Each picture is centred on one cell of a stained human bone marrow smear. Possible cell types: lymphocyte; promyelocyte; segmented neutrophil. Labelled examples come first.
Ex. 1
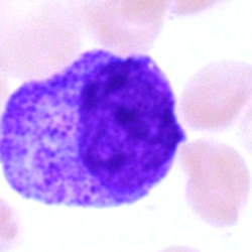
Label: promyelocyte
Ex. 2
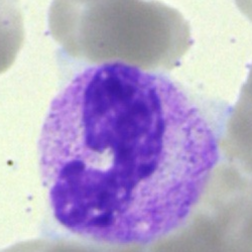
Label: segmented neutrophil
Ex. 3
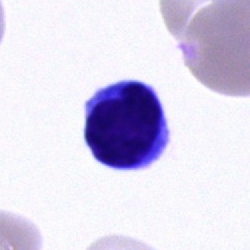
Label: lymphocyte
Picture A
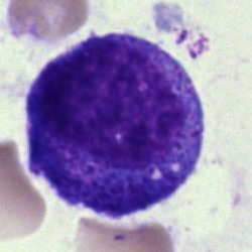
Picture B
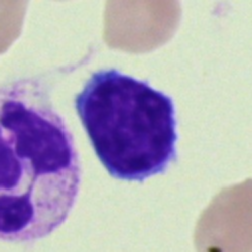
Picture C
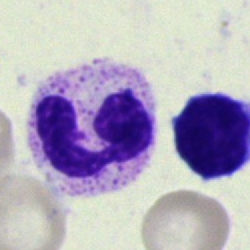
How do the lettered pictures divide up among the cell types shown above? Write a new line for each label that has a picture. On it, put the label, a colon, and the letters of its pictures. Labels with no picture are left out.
lymphocyte: B
promyelocyte: A
segmented neutrophil: C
